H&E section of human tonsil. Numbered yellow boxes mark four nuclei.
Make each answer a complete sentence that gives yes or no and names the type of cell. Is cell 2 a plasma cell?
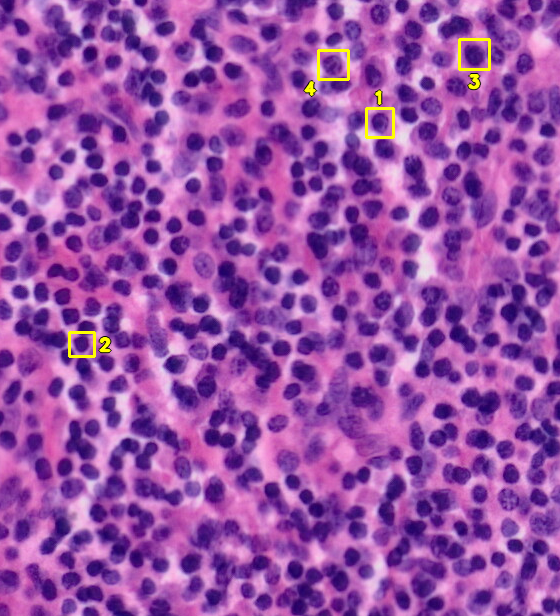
No, cell 2 is to be classed as a small lymphocyte, not a plasma cell.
